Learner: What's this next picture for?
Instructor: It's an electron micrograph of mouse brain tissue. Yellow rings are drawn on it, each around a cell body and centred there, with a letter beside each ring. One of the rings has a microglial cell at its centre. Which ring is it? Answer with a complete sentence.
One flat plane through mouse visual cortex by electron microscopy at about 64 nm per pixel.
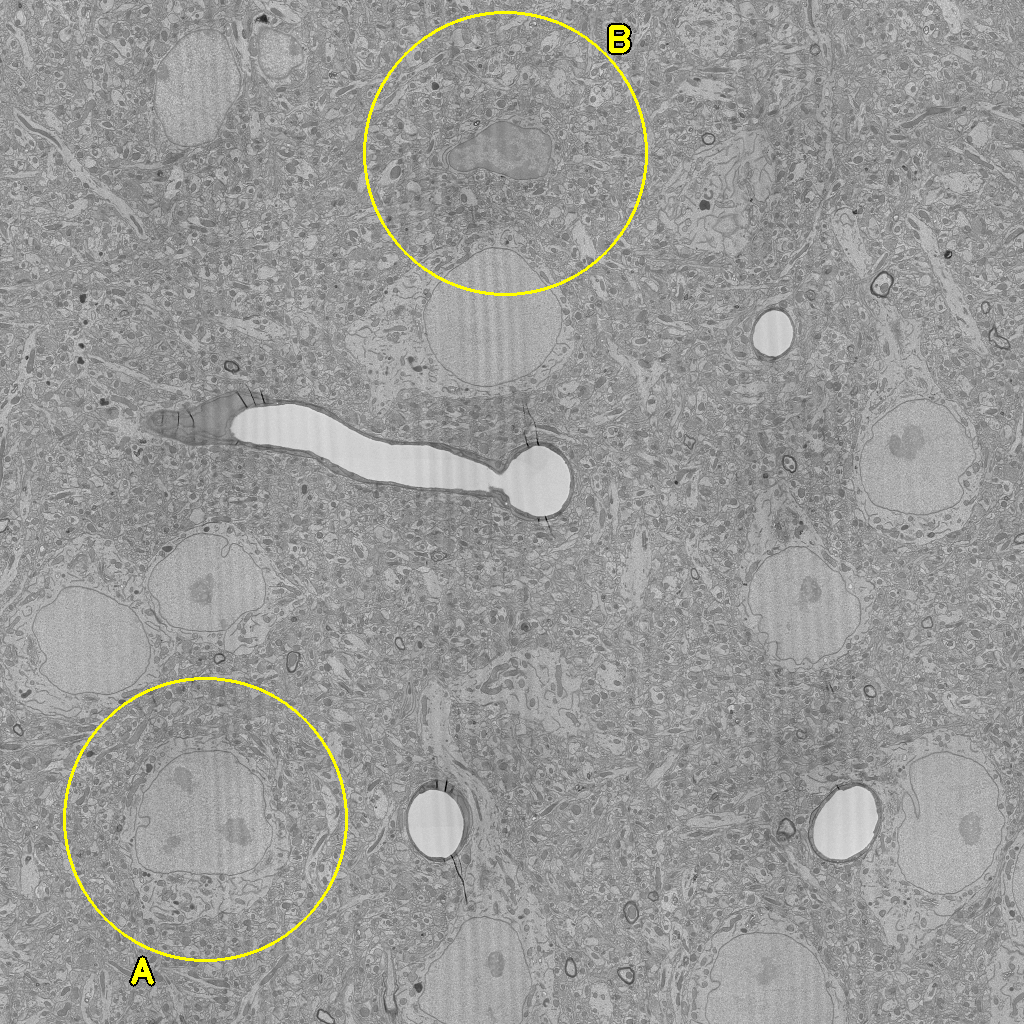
Ring B is centred on it.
